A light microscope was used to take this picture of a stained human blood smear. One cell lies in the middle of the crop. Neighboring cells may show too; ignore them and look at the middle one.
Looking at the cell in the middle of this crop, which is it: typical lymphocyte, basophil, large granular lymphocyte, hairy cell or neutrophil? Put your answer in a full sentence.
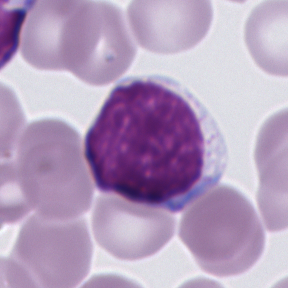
As for the cell in the middle, it is a large granular lymphocyte.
